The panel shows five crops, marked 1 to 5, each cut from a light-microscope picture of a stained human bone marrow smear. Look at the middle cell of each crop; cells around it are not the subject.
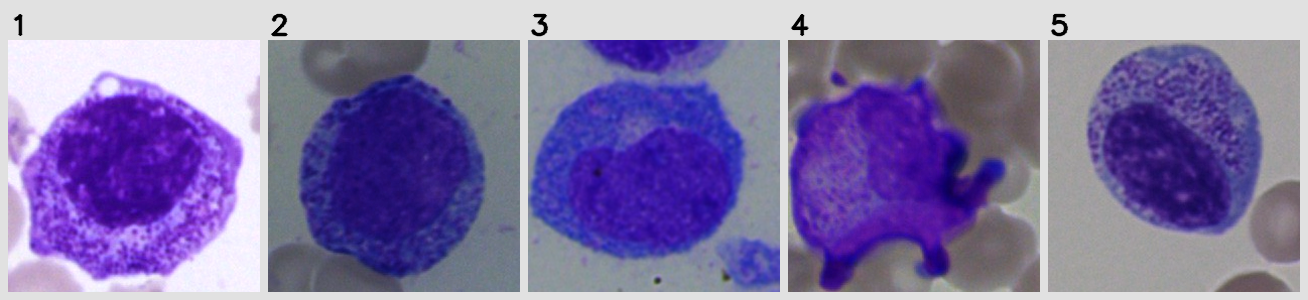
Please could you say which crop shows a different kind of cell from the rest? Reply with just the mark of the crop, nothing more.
4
